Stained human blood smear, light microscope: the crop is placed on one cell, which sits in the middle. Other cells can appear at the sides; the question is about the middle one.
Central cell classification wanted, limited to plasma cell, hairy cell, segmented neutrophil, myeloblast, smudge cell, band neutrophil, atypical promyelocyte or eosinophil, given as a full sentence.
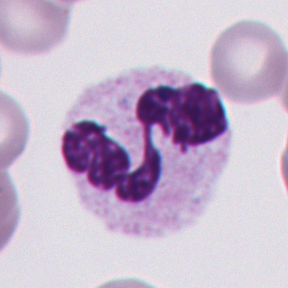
Of the cells in this crop, the central one is a segmented neutrophil.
